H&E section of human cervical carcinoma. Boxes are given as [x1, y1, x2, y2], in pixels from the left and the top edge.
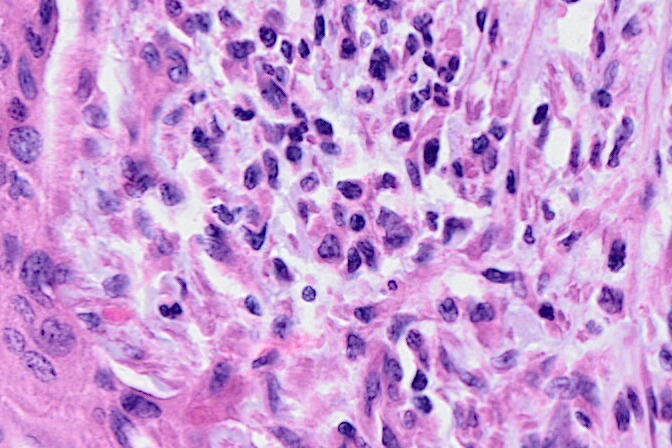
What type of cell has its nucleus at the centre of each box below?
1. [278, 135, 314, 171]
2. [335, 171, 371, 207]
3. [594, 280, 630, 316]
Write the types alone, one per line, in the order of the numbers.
lymphocyte
lymphocyte
macrophage or monocyte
